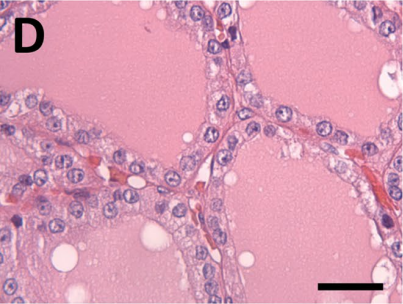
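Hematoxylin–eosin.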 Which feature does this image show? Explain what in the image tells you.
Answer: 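Normal thyroid follicles. Large round follicles filled with homogeneous pink colloid. Each follicle is lined by a single layer of flat to cuboidal cells.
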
